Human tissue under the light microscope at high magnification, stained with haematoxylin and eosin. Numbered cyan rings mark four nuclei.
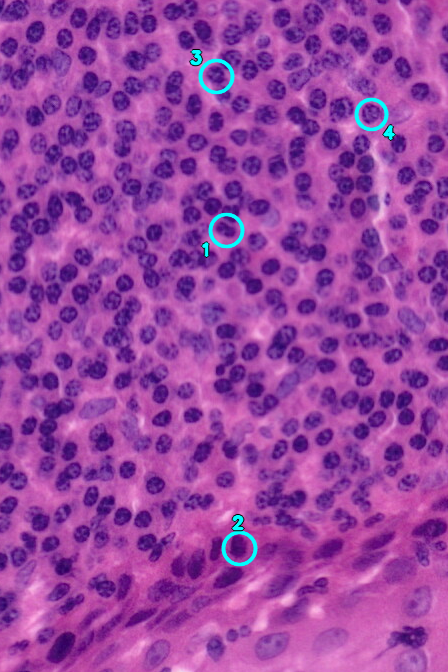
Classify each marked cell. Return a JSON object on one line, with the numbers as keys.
{"1": "plasma cell", "2": "squamous epithelial cell", "3": "plasma cell", "4": "plasma cell"}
